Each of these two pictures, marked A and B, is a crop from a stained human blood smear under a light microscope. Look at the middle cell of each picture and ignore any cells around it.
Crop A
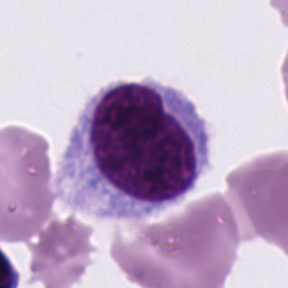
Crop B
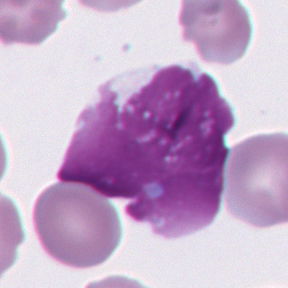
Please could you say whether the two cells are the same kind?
no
